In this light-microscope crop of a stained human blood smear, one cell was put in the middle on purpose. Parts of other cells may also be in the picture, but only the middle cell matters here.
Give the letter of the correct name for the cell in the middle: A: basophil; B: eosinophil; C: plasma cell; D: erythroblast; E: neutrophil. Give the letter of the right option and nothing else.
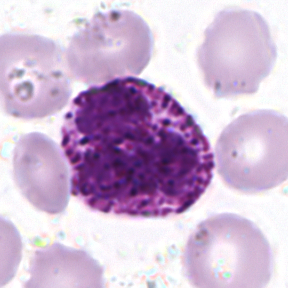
A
